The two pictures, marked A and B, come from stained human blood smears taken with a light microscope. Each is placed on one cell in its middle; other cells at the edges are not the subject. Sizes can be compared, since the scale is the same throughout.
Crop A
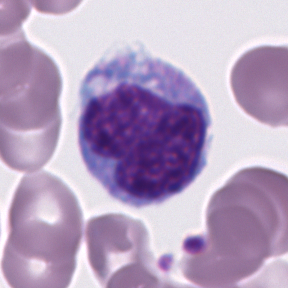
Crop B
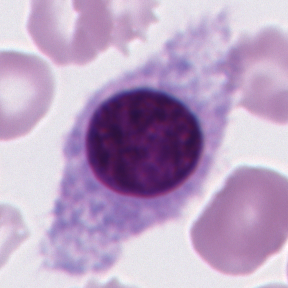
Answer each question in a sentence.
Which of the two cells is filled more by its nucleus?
It is the cell in crop A that is filled more by its nucleus.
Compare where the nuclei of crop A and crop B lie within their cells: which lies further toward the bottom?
Seen within its cell, the nucleus in crop A lies further toward the bottom.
